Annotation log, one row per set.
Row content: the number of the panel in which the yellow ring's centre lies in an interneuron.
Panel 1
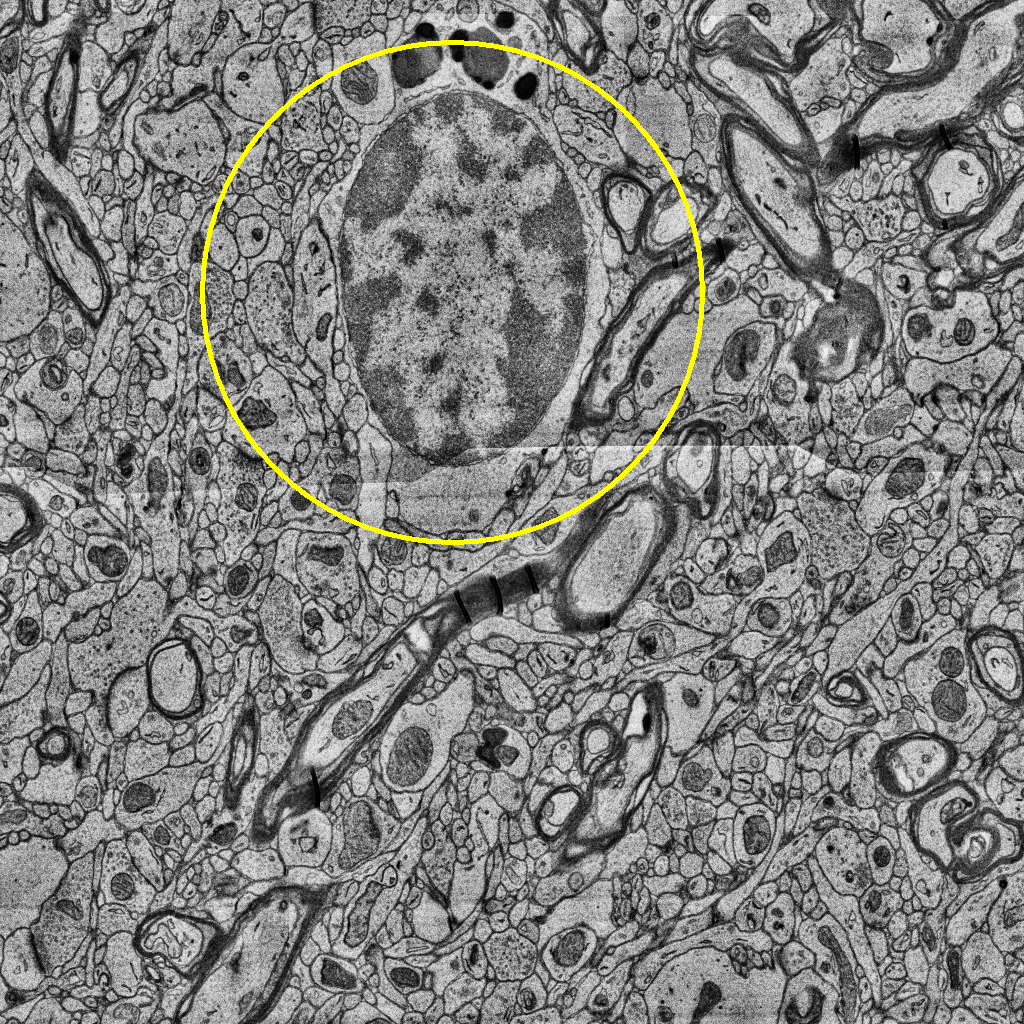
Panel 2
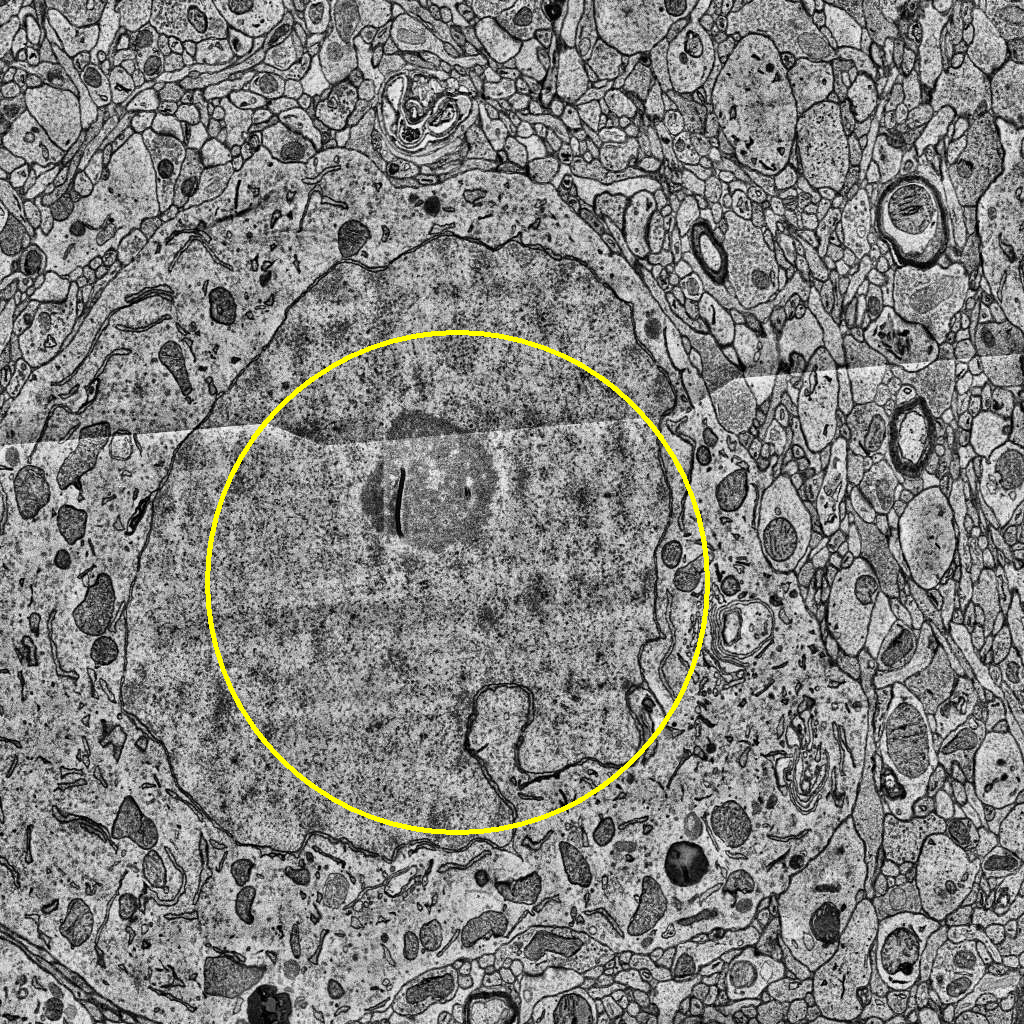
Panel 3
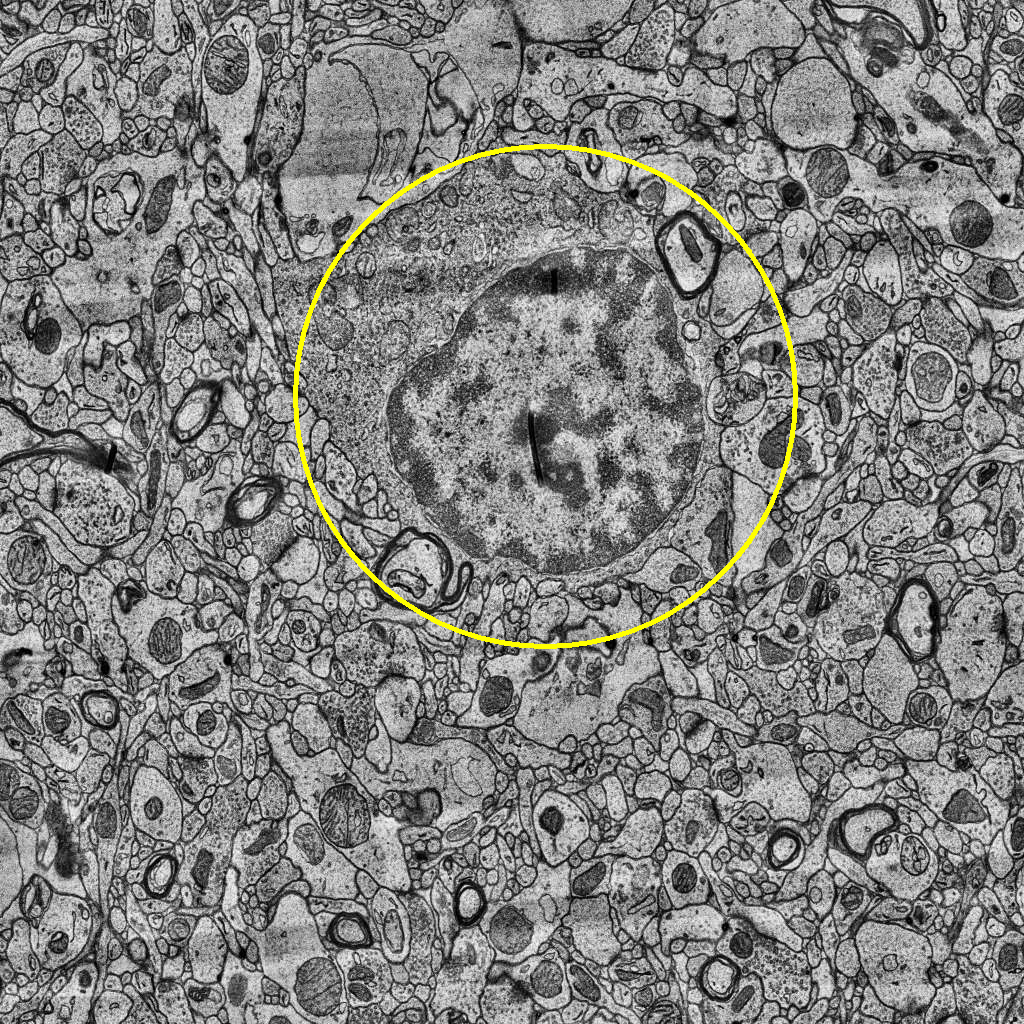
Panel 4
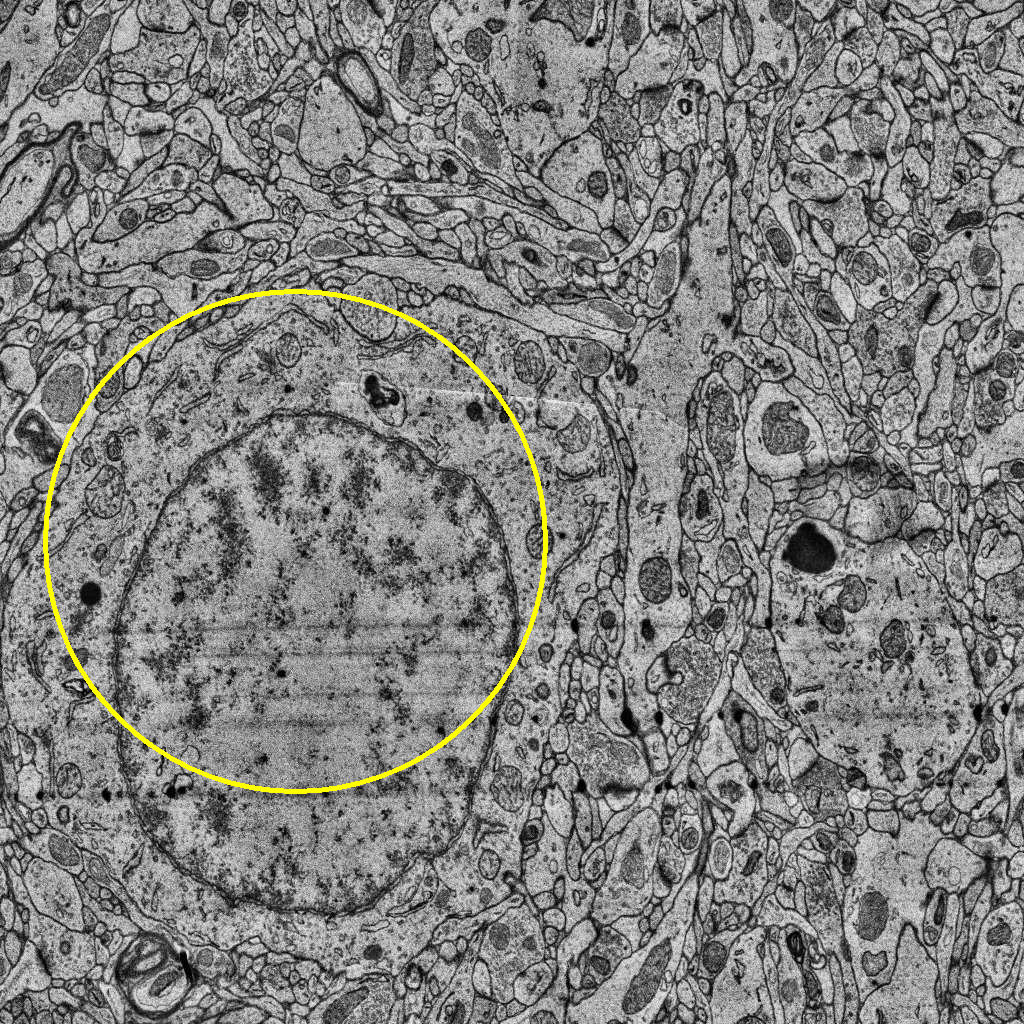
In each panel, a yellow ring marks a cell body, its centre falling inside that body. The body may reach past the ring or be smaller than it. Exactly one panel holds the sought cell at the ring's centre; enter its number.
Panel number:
2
